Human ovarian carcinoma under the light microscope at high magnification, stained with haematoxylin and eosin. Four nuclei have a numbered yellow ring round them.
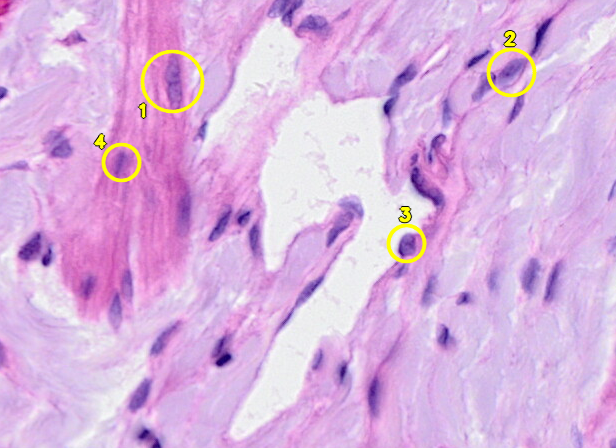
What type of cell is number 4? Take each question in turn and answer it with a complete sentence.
The marked cell bearing number 4 is a smooth muscle cell.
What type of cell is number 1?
Heads up, the cell numbered 1 is a smooth muscle cell.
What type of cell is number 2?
The cell identified by the number 2 is an endothelial cell.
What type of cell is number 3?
In this section, the cell numbered 3 is an endothelial cell.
